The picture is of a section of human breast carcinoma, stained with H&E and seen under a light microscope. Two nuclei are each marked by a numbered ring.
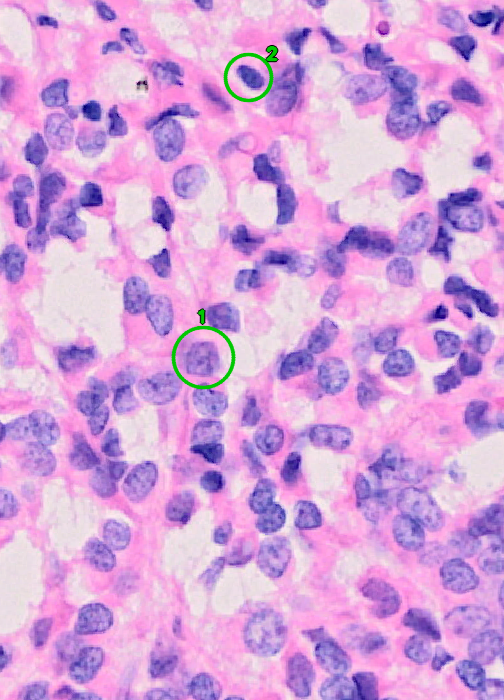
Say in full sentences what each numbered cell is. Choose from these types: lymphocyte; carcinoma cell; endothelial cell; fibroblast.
Cell 1 is a carcinoma cell and cell 2 is a lymphocyte.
